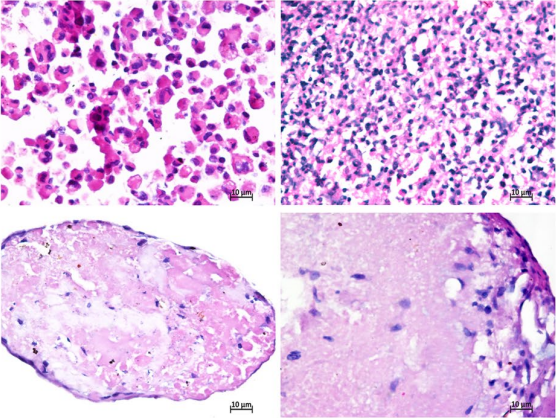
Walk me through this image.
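In the upper images the field is crowded with cells. On the left they are rounded and loosely scattered, with deep magenta cytoplasm and dark blue-purple nuclei, some clumped together. On the right the cells are smaller and densely packed, with many dark blue nuclei set in a pink background. The lower images are quite different. Only a few flattened or oval blue nuclei sit within it, and most of the cells crowd along the outer rim of the tissue.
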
